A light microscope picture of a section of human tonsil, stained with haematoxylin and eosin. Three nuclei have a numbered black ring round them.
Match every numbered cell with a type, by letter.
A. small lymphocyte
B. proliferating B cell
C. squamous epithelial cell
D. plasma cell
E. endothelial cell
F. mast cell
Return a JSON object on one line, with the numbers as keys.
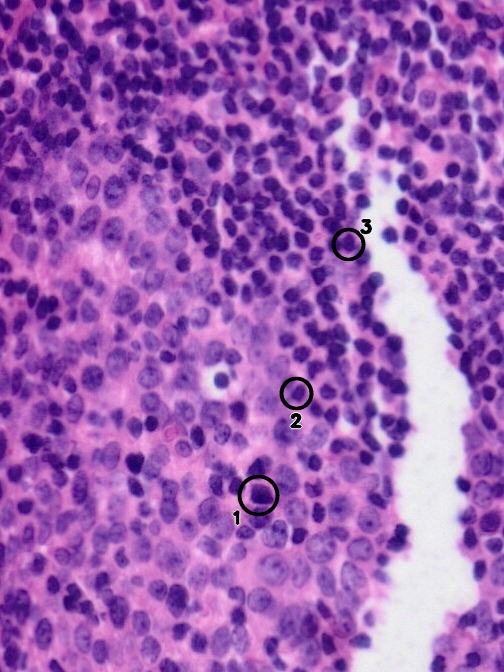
{"1": "B", "2": "B", "3": "A"}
